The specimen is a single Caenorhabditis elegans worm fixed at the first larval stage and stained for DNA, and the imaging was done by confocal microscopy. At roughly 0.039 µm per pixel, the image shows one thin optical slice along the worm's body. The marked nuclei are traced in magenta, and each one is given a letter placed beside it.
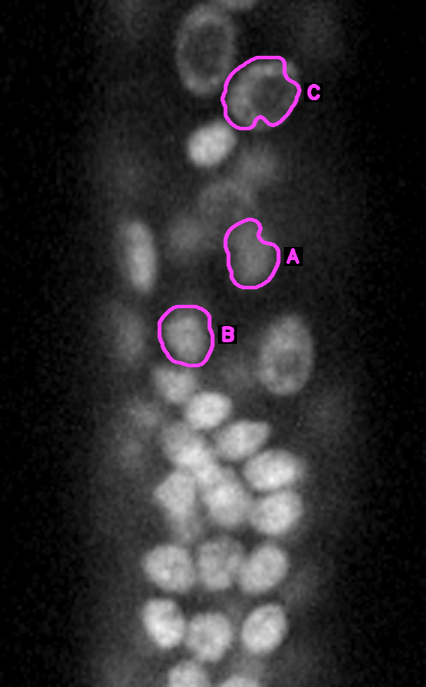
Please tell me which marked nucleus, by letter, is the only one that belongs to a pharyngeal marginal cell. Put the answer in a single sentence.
Of the marked nuclei, A is the one in a pharyngeal marginal cell.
